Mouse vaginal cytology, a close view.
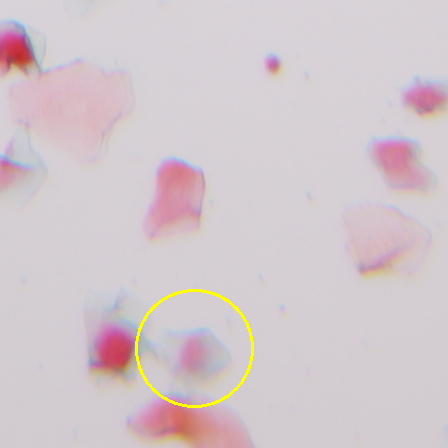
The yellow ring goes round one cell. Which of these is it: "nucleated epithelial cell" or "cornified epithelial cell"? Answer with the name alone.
nucleated epithelial cell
